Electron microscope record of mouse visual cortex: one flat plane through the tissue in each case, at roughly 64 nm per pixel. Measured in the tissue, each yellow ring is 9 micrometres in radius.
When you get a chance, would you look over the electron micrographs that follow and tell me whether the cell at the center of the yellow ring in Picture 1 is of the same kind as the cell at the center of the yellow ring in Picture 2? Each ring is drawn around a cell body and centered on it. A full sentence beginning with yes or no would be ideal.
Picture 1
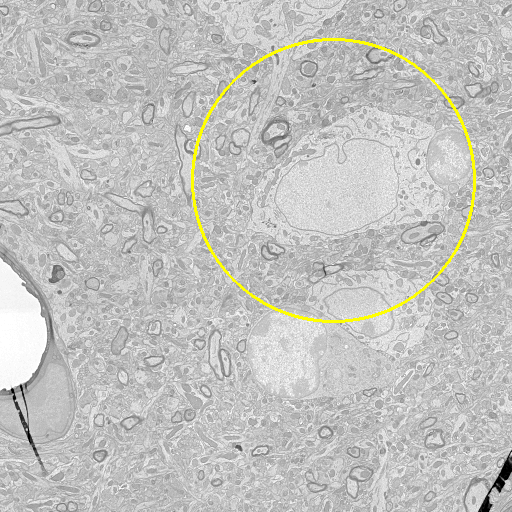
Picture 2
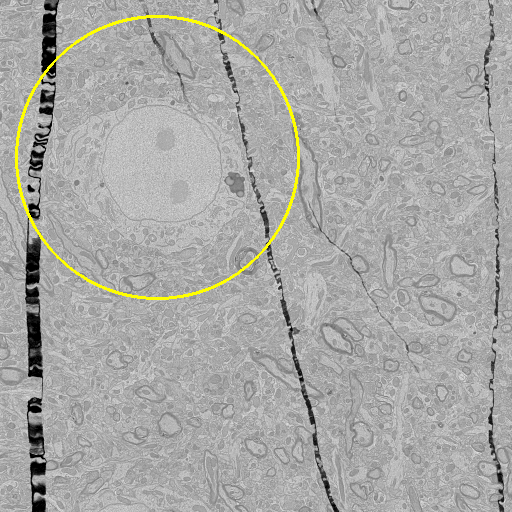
Yes, the two cells are of the same kind.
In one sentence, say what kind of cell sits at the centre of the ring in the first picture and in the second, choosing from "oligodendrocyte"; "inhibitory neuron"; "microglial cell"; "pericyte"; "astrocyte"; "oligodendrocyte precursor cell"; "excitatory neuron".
The cell at the ring centre is an excitatory neuron in both pictures.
